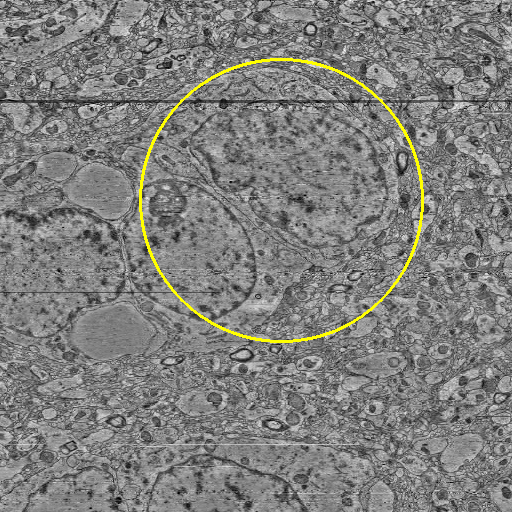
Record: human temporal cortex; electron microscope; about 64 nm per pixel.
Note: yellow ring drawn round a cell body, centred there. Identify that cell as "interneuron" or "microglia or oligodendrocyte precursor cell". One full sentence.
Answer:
The cell in the middle of the ring is an interneuron.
